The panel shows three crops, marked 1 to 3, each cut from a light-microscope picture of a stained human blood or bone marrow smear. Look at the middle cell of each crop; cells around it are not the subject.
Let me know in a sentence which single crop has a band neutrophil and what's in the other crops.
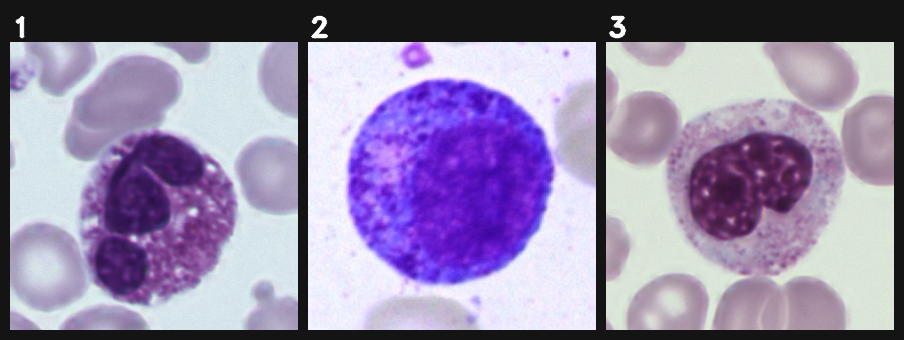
In crop 3 there is a band neutrophil, while crop 1 is an eosinophil and crop 2 is a promyelocyte.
